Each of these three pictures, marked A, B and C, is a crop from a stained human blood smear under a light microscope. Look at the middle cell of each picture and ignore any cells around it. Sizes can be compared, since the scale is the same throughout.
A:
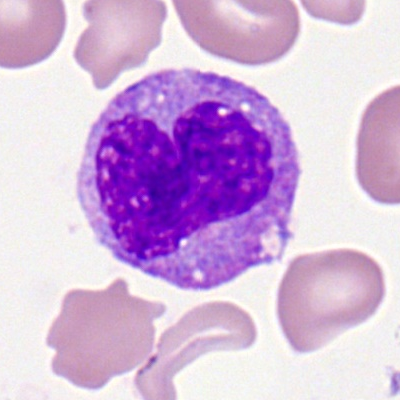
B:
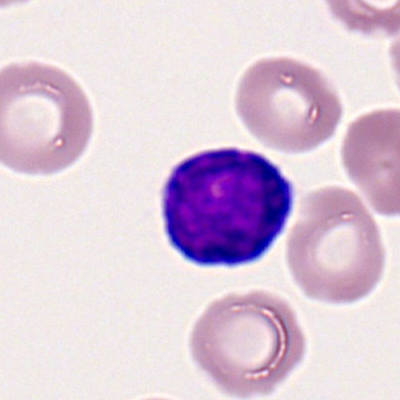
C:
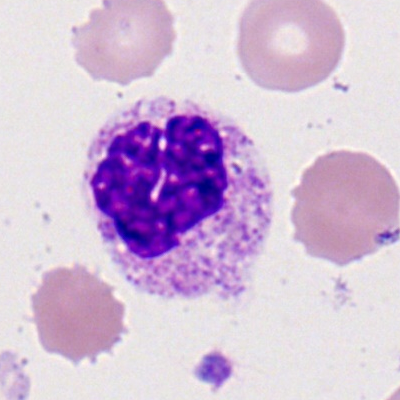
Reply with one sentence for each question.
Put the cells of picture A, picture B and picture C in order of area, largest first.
Largest first: A, C, B.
